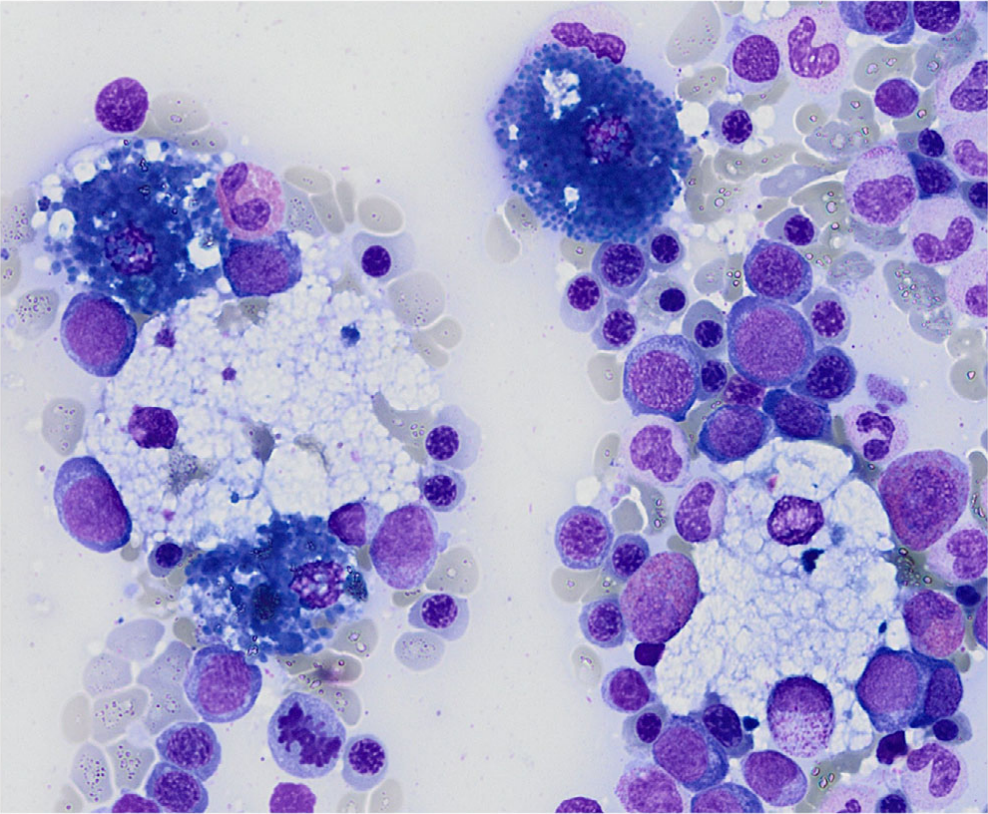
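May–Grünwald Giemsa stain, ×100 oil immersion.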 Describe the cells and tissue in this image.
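This cytological smear shows two kinds of large histiocytic cells, foamy macrophages and intensely basophilic blue histiocytes, scattered among many smaller round cells. The foamy macrophages are very large, with pale, almost colourless cytoplasm crowded with small clear vacuoles and a small, dark, eccentric nucleus. The blue histiocytes are also large, with abundant cytoplasm packed with coarse deep blue granules surrounding a single round purple nucleus, some with a few clear spaces. Around them lie numerous smaller round cells with purple nuclei and bluish cytoplasm, along with segmented granulocytes and pale red cells in the background. A dividing cell with condensed chromosomes can be seen near the lower middle of the field.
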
